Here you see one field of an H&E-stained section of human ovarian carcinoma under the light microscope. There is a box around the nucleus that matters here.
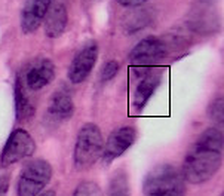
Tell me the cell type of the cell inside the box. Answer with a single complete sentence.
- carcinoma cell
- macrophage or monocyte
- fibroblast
On this particular slide, the cell inside the box is a carcinoma cell.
